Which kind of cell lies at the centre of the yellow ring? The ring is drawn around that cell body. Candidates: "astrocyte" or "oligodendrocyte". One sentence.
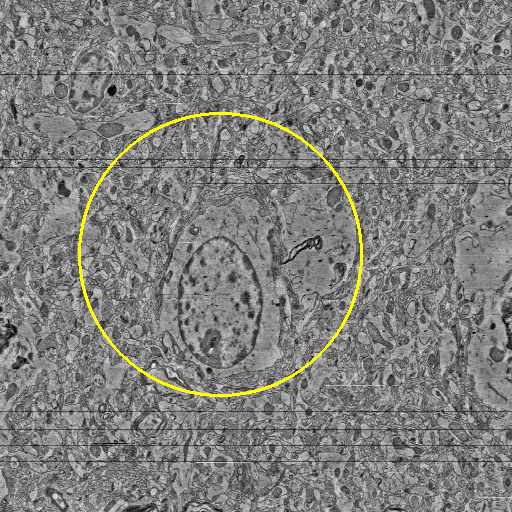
Lying at the centre of the ring is an astrocyte.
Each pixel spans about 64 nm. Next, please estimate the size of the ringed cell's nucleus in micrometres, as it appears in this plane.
Roughly 9 micrometres by 5 micrometres, so the nucleus is clearly longer than it is wide in this plane.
